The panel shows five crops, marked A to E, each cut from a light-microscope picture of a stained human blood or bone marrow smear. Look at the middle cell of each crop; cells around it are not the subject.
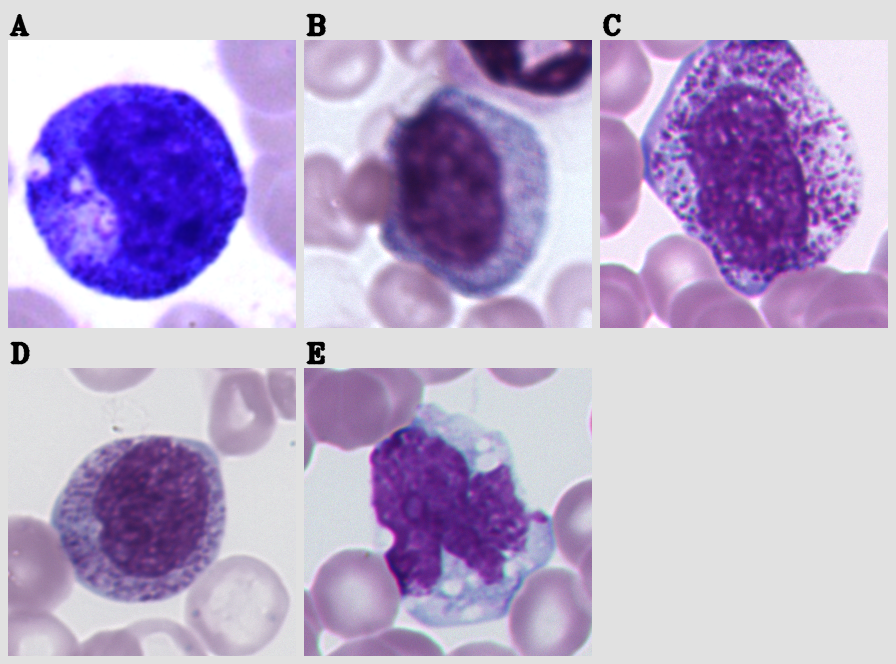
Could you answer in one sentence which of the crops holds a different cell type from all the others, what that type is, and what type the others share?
Found in all crops but one are promyelocytes; the exception, crop E, contains a monocyte.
